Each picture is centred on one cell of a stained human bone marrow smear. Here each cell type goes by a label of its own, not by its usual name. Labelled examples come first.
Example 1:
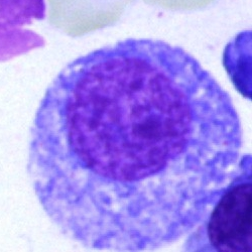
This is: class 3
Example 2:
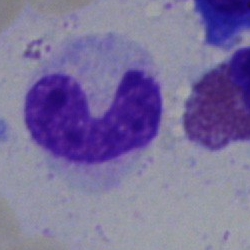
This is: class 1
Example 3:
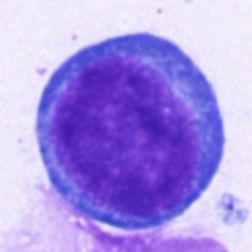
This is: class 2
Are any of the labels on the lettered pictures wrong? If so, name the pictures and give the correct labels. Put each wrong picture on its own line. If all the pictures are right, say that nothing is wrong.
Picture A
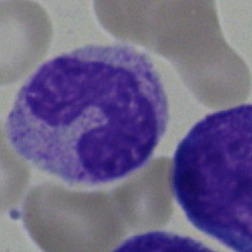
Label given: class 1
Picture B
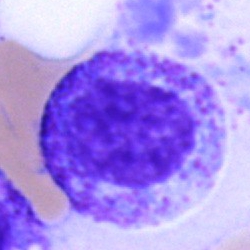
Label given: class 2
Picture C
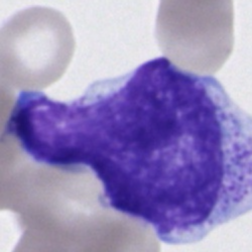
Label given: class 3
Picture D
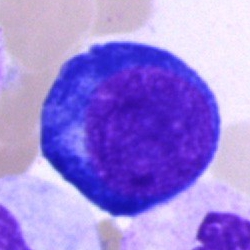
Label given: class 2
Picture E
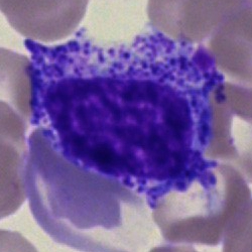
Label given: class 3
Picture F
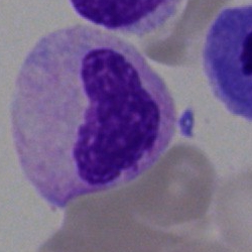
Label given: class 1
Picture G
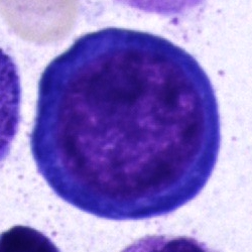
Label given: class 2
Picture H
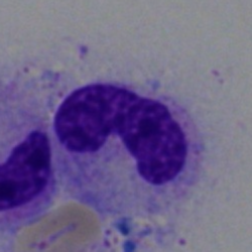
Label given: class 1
B: change class 2 to class 3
